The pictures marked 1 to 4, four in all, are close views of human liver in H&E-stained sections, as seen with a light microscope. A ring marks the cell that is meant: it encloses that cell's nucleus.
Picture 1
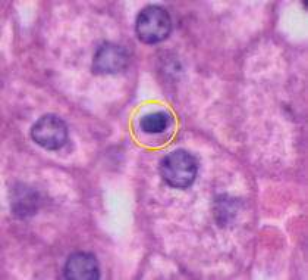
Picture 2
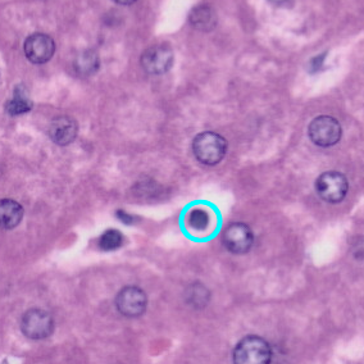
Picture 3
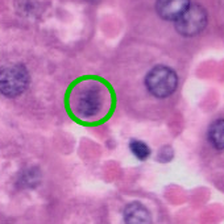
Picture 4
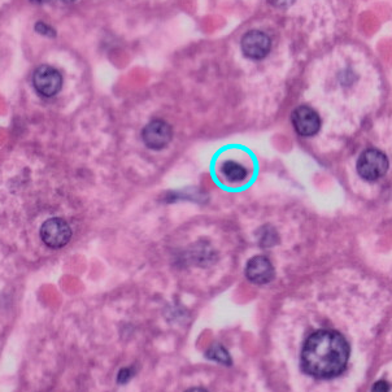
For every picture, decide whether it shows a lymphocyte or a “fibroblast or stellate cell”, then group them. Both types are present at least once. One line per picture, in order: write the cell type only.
lymphocyte
lymphocyte
fibroblast or stellate cell
lymphocyte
